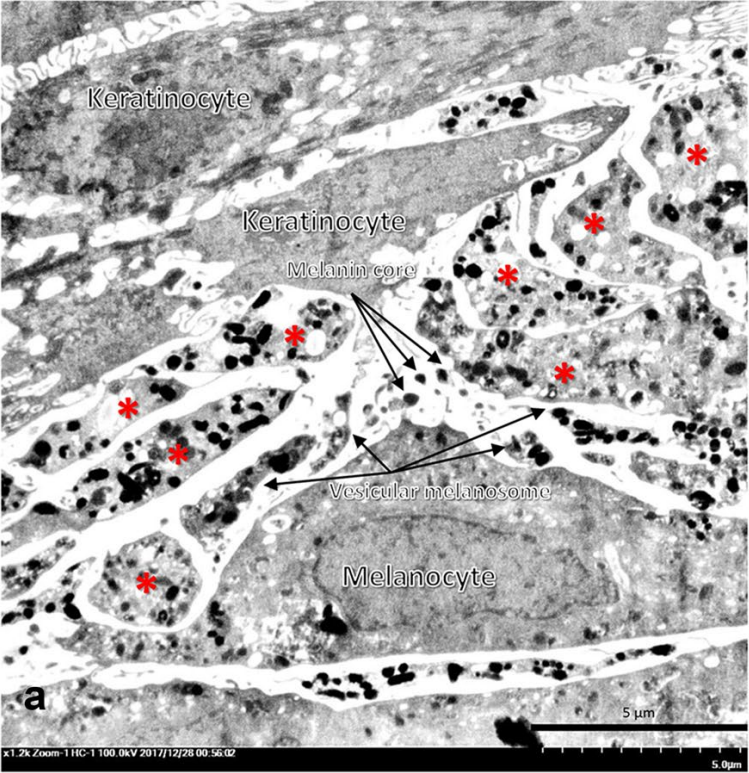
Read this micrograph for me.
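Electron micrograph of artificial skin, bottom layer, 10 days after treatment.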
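In the lower part lies a cell with a large oval nucleus, from which long branching processes run upward between the overlying cells, each process crowded with dark, dense round to oval granules and some paler vesicles, and separated from its neighbours by pale spaces. Above them lie larger cells with fine-grained cytoplasm and few granules.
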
